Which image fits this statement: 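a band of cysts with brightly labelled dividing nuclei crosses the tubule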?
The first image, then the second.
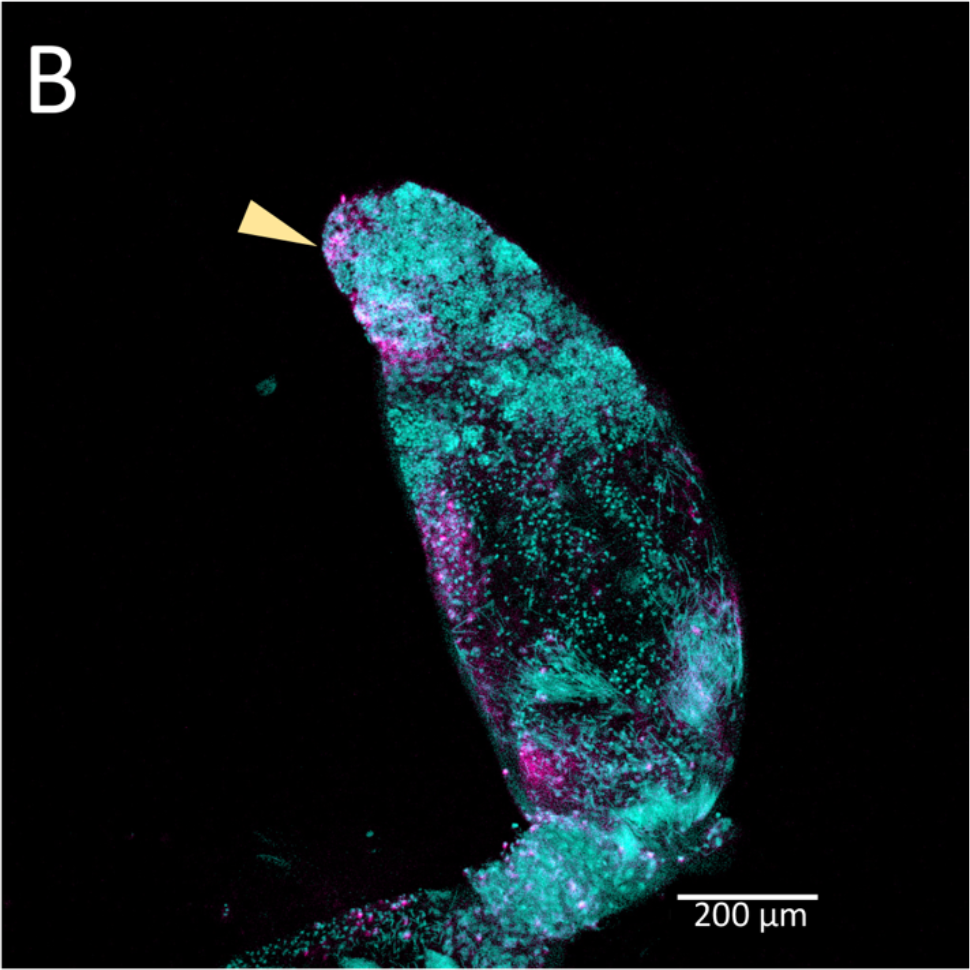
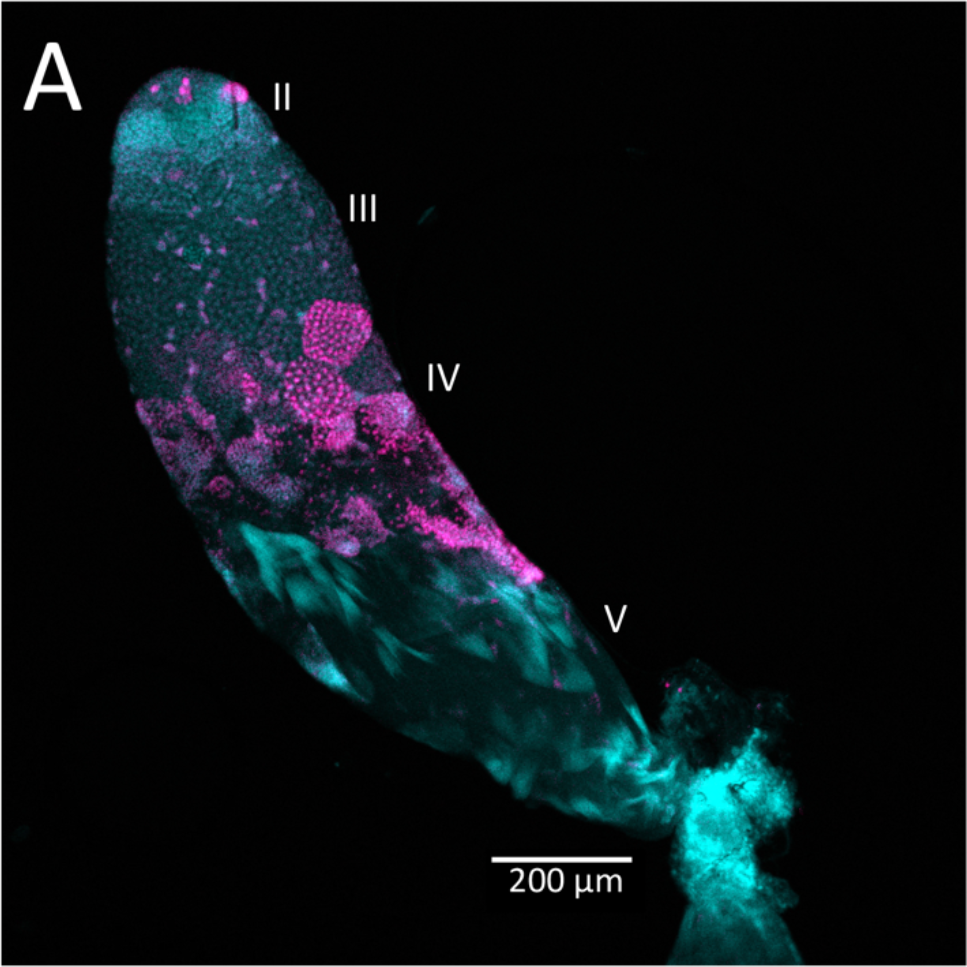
The second image.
